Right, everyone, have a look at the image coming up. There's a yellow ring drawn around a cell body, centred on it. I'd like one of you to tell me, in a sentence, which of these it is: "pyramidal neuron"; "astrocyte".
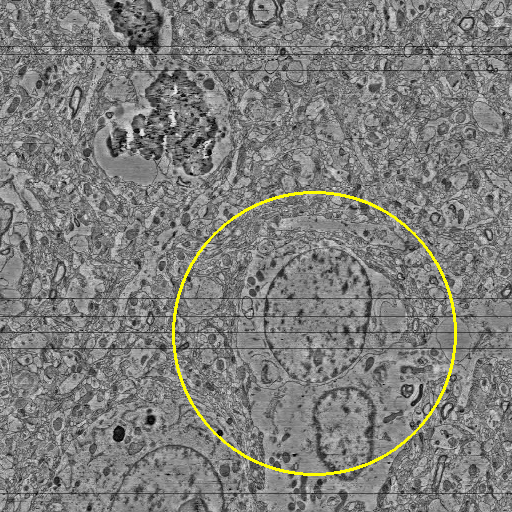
The yellow ring sits on an astrocyte.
